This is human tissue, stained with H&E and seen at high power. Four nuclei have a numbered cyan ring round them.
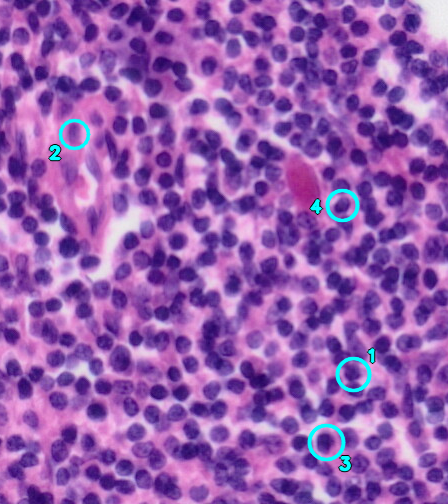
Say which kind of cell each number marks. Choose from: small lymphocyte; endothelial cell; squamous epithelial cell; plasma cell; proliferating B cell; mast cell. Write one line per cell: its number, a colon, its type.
1: small lymphocyte
2: endothelial cell
3: small lymphocyte
4: small lymphocyte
